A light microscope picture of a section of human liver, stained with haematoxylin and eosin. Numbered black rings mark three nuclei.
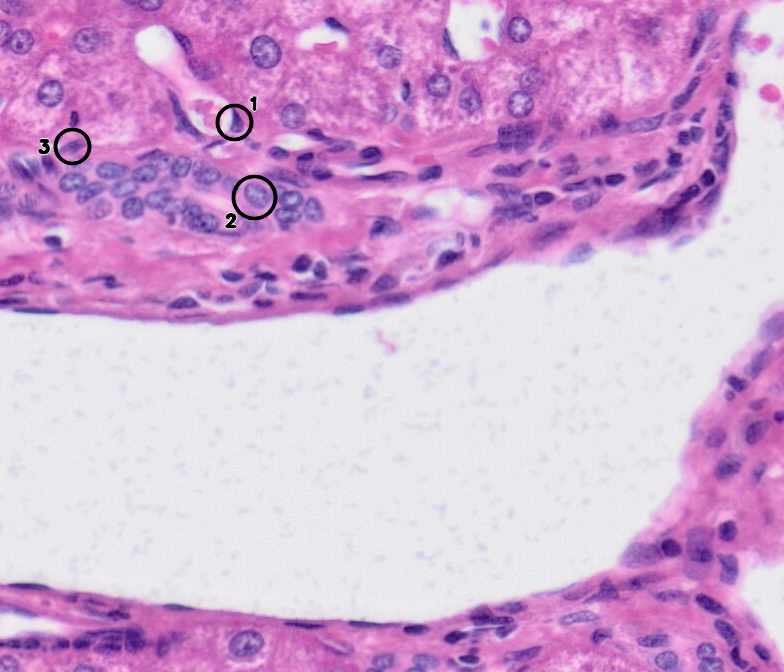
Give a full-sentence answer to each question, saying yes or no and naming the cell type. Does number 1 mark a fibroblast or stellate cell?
Yes, the cell to which number 1 refers is a fibroblast or stellate cell.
